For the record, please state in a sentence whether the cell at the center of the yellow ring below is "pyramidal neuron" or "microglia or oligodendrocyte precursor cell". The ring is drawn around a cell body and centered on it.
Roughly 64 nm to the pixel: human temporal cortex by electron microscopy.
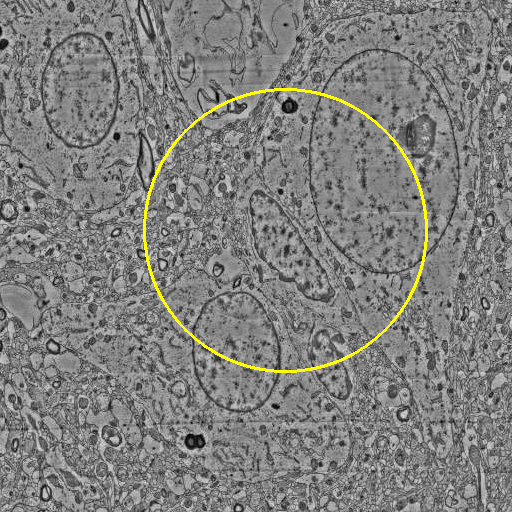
The cell at the ring's center is a microglial cell or oligodendrocyte precursor cell.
